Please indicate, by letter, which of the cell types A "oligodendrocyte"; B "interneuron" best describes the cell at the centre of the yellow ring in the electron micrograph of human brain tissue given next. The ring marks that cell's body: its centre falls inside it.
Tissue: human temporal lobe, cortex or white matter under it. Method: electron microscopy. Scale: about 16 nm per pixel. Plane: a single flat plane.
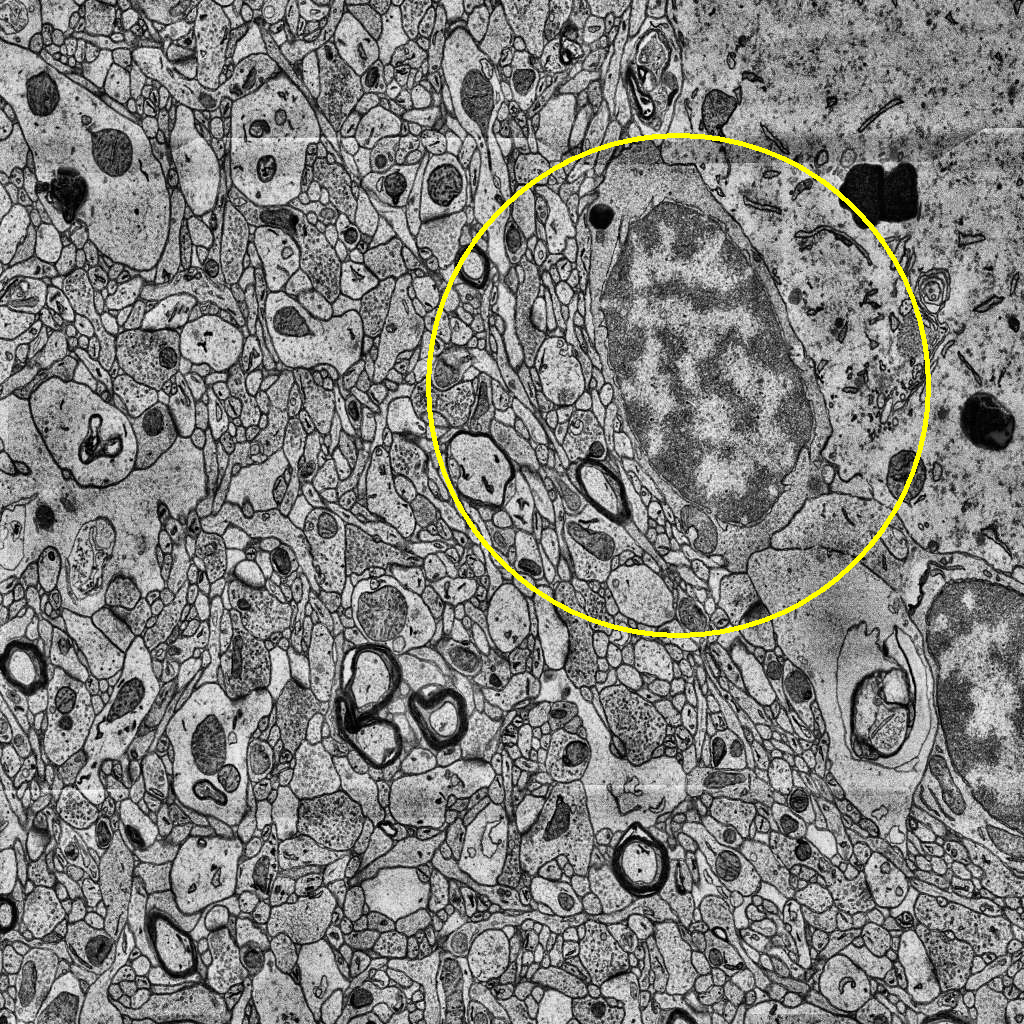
A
